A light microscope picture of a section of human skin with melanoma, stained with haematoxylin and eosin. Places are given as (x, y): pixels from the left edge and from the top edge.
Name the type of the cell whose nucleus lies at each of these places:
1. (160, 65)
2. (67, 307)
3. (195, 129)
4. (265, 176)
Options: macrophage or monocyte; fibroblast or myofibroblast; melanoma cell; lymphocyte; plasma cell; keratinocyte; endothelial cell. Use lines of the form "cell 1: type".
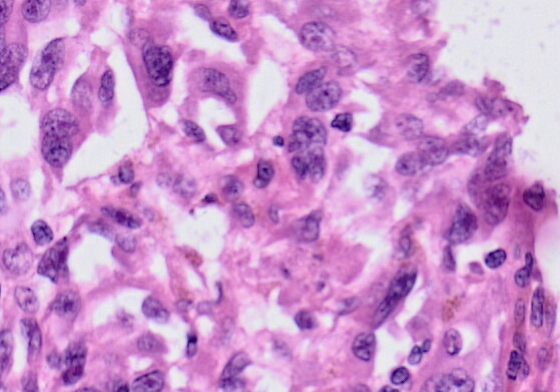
cell 1: melanoma cell
cell 2: melanoma cell
cell 3: melanoma cell
cell 4: macrophage or monocyte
